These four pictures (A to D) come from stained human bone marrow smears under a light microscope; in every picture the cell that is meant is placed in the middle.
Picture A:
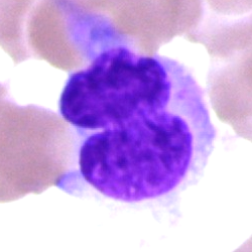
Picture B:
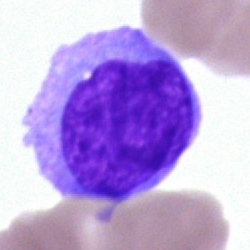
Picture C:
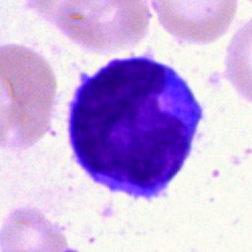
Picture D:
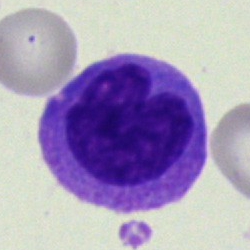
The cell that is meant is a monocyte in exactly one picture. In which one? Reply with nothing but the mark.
D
